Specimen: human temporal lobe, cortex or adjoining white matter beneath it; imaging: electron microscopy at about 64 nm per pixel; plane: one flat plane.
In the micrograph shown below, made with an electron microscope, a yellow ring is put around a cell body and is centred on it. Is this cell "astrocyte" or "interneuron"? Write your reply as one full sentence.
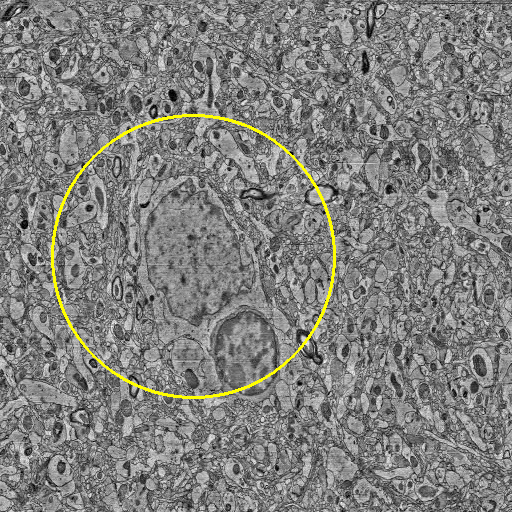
In the micrograph, an interneuron is the cell at the centre of the yellow ring.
